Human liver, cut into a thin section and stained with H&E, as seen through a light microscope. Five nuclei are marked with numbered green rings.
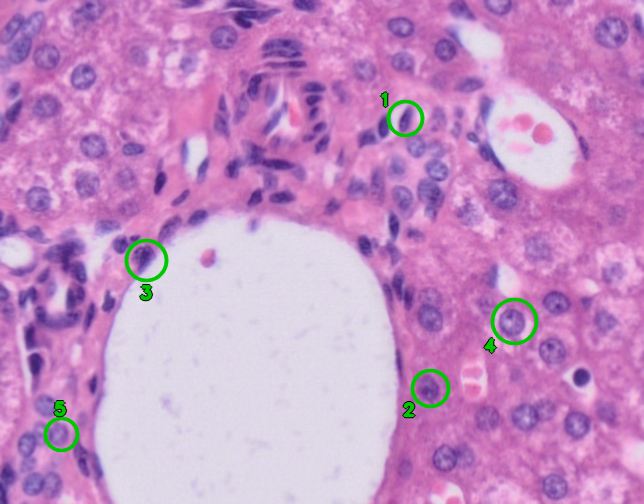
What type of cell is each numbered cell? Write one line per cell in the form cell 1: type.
cell 1: fibroblast or stellate cell
cell 2: hepatocyte
cell 3: fibroblast or stellate cell
cell 4: hepatocyte
cell 5: cholangiocyte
